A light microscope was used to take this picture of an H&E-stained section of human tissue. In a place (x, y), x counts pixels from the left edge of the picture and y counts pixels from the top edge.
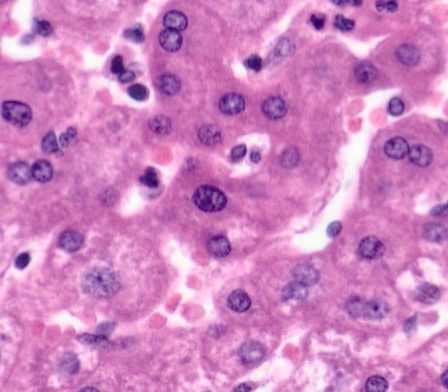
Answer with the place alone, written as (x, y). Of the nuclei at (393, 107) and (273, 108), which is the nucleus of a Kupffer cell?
(393, 107)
